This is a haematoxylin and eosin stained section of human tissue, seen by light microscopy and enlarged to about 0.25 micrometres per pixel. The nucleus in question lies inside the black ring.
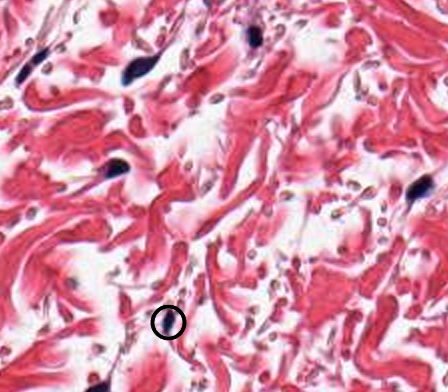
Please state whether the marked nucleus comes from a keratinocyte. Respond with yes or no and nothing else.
no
